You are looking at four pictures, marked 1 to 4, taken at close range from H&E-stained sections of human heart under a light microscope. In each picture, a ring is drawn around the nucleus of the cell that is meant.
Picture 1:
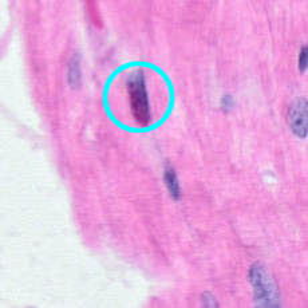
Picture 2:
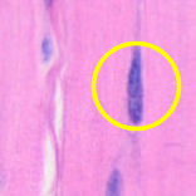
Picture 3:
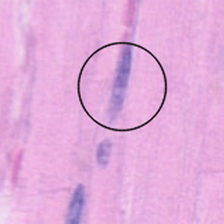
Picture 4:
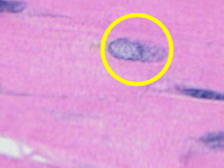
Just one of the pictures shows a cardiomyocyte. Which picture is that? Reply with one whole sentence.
Picture 4 shows the cardiomyocyte.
